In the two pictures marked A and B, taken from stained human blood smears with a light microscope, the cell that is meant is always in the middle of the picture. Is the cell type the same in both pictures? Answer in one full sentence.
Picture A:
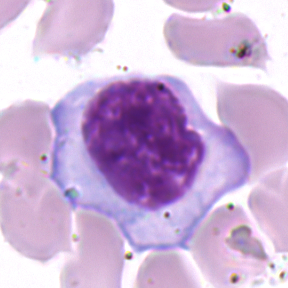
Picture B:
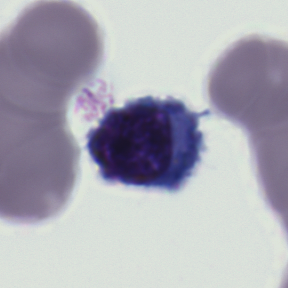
Yes, they are the same type: both are plasma cells.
